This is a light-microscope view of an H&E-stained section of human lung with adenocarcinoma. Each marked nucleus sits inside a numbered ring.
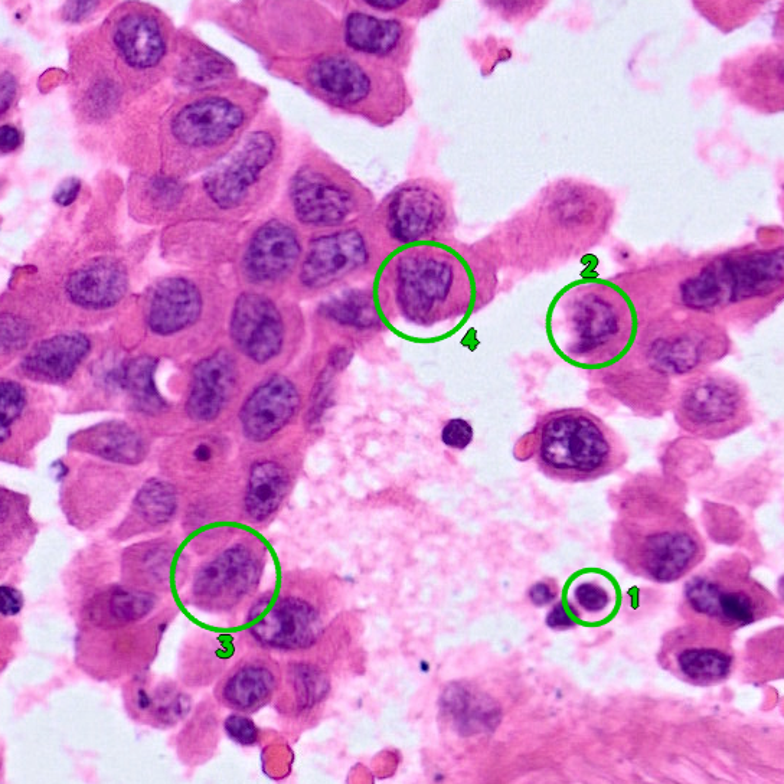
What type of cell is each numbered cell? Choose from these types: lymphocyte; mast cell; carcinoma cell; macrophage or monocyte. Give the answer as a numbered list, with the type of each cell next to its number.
1. lymphocyte
2. carcinoma cell
3. carcinoma cell
4. carcinoma cell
